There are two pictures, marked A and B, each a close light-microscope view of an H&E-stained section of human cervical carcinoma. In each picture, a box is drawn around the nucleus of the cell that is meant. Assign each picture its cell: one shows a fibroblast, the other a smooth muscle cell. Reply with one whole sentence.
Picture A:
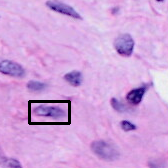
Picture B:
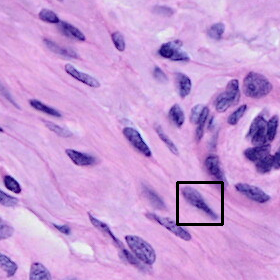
In picture A the cell is a smooth muscle cell; in picture B, a fibroblast.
